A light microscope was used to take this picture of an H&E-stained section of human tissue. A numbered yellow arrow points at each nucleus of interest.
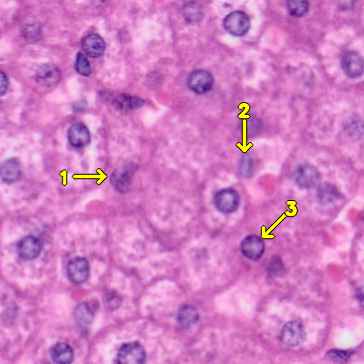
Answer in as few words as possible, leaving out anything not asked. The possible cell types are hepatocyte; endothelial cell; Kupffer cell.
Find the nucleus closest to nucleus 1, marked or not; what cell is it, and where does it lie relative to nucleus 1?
a hepatocyte above and to the left of nucleus 1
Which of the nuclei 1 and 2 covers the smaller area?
2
